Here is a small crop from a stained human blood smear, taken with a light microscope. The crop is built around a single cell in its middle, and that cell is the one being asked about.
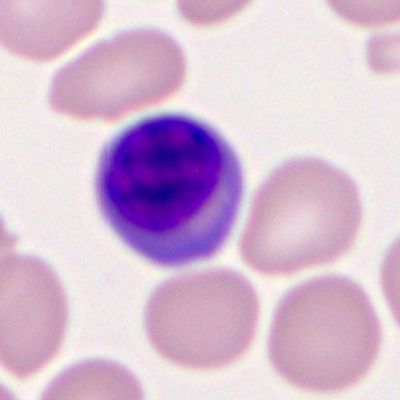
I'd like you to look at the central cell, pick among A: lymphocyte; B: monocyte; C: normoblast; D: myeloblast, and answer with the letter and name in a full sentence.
Given that the cell in the middle is a normoblast, option C is correct.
